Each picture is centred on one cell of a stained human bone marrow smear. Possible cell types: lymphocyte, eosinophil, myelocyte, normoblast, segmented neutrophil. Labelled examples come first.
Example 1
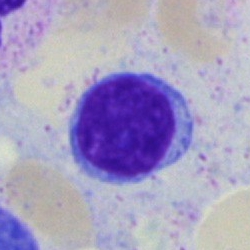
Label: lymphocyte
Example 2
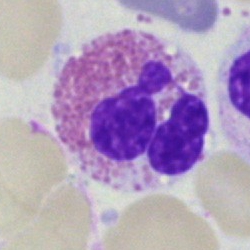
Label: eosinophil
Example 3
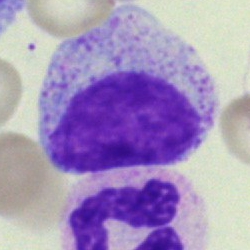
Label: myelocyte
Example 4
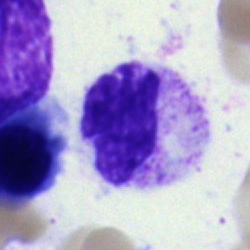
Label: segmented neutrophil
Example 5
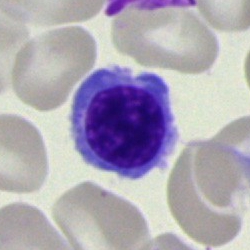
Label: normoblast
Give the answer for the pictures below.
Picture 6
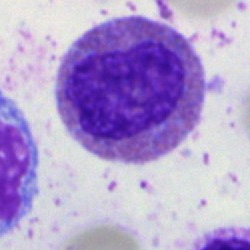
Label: eosinophil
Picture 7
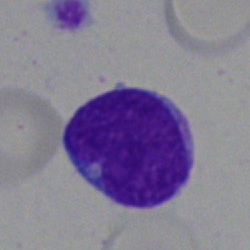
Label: lymphocyte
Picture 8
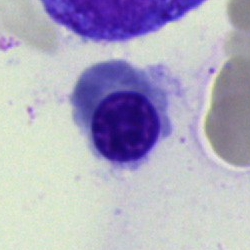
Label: normoblast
